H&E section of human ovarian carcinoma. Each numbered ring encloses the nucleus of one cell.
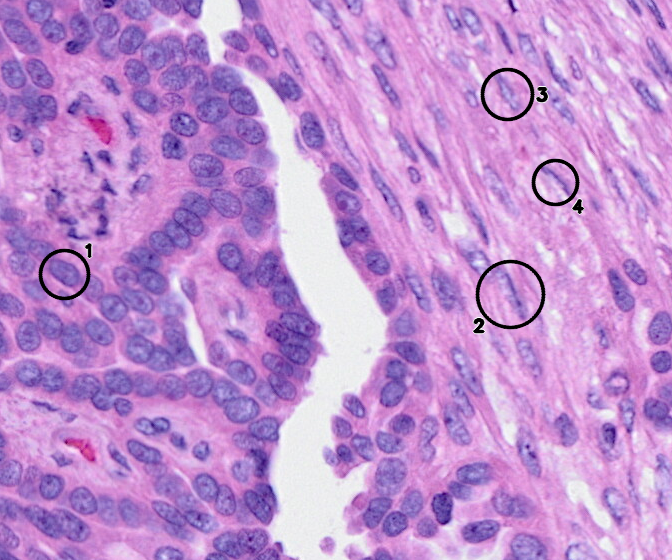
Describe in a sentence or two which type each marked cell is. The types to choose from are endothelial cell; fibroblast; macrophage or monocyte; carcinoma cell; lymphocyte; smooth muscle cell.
Cell 1 is a carcinoma cell. Cells 2, 3 and 4 are fibroblasts.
